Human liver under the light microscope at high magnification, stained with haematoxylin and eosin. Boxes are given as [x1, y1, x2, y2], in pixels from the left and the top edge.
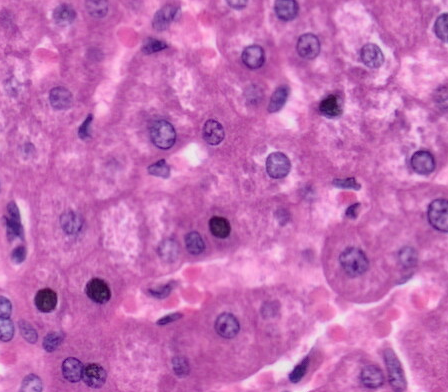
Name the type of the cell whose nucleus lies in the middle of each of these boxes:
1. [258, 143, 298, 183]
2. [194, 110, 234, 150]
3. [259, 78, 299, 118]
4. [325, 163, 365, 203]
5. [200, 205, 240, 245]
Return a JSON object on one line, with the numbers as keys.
{"1": "hepatocyte", "2": "hepatocyte", "3": "Kupffer cell", "4": "endothelial cell", "5": "hepatocyte"}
